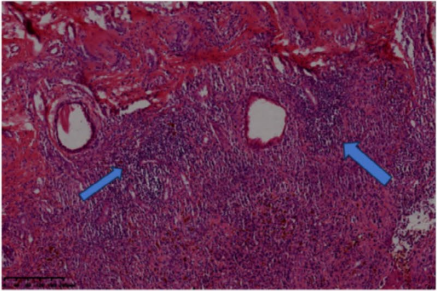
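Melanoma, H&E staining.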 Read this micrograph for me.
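Broad zones are crowded with small, round, dark purple nuclei, which form denser clusters than the surrounding tissue. Two rounded empty spaces with thin pink rims lie within and beside the cellular area. The upper part of the field is occupied by denser, more intensely pink-red tissue with fewer nuclei. The lymphoid clusters appear as poorly delimited, purple-blue patches set in pinker tissue.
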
